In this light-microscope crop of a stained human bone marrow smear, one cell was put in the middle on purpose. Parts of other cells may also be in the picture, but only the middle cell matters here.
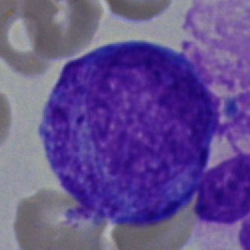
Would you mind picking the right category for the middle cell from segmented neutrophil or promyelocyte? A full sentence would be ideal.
As for the cell in the middle, it is a promyelocyte.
